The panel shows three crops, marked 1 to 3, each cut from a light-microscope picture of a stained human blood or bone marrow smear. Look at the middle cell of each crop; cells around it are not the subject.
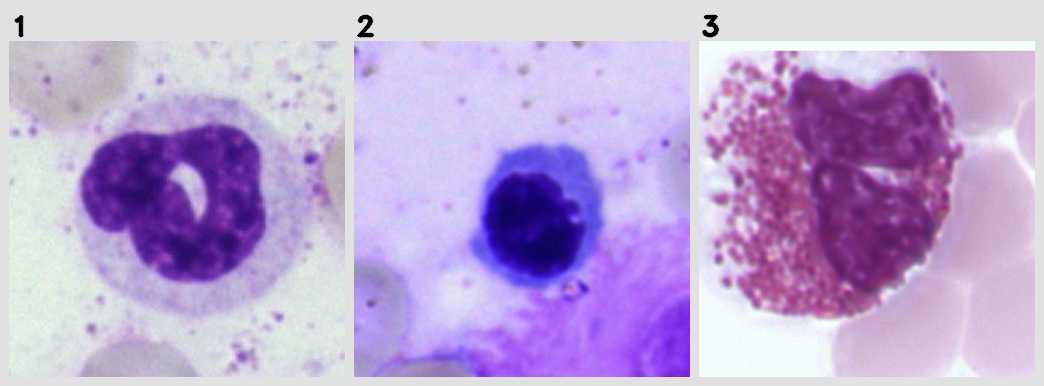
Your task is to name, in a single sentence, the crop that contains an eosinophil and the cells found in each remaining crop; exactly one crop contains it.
Depicted in crop 3 is an eosinophil, while crop 1 is a segmented neutrophil and crop 2 is an erythroblast.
